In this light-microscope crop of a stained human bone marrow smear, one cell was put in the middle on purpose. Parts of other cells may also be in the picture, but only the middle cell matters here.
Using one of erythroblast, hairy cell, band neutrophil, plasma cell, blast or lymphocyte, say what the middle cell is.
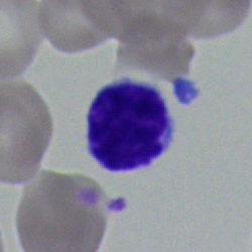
lymphocyte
